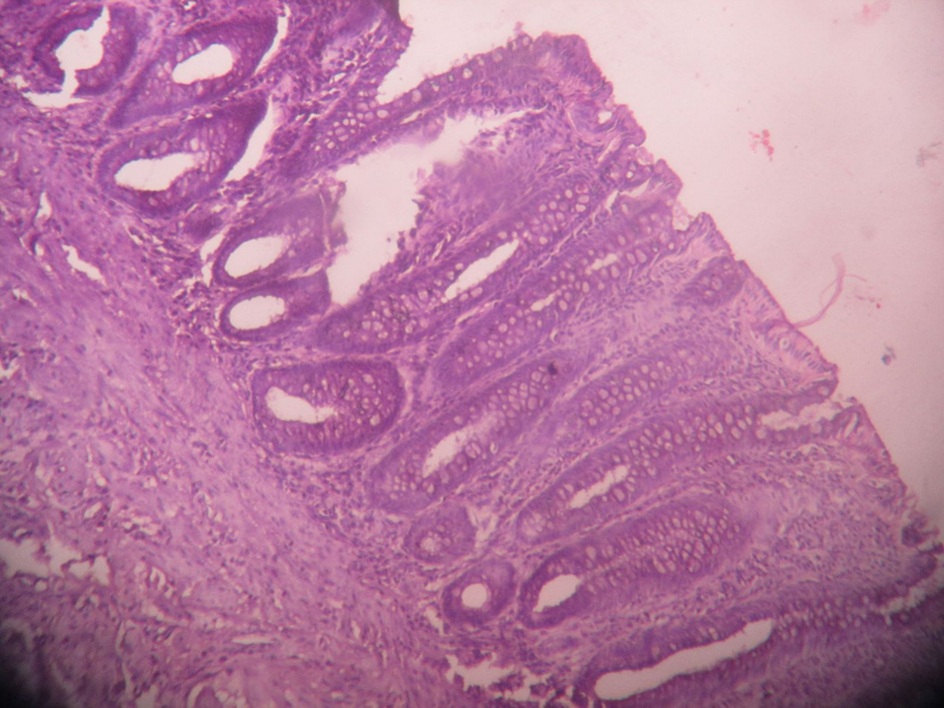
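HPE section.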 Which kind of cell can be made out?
mucus secreting tall columnar cells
